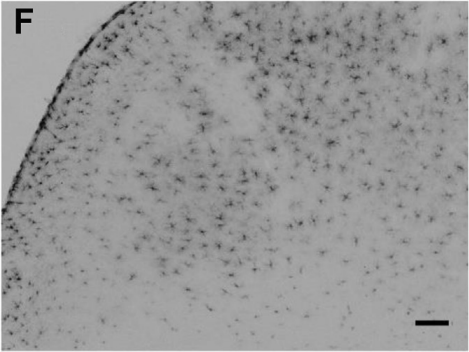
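Cortex with densely labelled astrocytes. Cell density looks higher in the field just beneath the surface and thins toward the lower part of the field. The outer brain surface at the upper left is lined by a continuous dark labelled band. Background neuropil is pale and unstained, with a few paler patches lacking labelled cells.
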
